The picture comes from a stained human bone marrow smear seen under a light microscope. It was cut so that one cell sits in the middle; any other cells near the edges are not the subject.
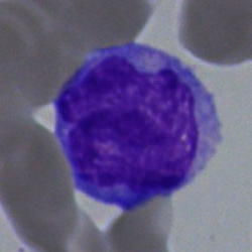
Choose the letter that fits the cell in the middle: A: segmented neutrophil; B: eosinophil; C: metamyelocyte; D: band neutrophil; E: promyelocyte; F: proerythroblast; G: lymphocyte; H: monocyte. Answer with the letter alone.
H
